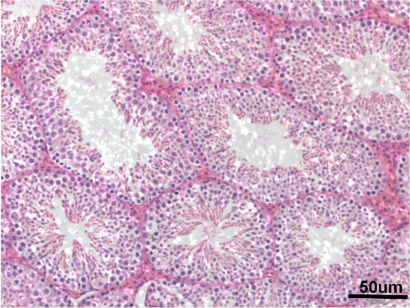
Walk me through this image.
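This section of testis shows many seminiferous tubules cut across, packed closely together, with pink-staining interstitial tissue filling the narrow angular spaces between them. Each tubule is lined by a thick, layered epithelium of many cells with round purple nuclei, arranged in several tiers from the outer edge toward the centre. The centre of each tubule is a pale lumen. In several tubules, fine pale threads reach into this lumen from the innermost cells, giving it a streaked, radiating look.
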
